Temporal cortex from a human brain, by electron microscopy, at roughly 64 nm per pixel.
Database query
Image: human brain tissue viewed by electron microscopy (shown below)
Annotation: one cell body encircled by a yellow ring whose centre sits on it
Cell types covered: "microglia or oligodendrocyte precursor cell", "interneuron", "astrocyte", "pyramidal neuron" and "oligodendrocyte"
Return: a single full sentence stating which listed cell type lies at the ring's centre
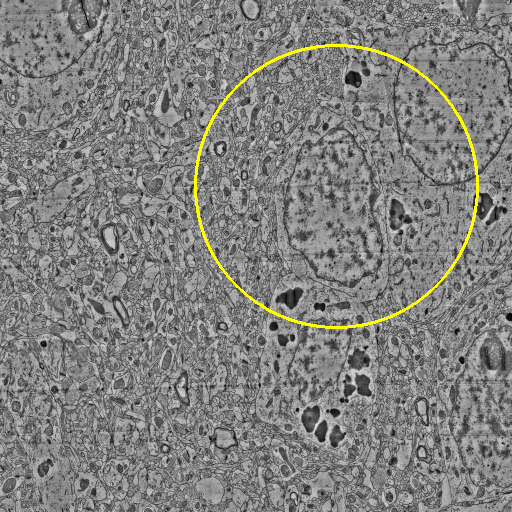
In the image, the cell lying at the ring's centre is an interneuron.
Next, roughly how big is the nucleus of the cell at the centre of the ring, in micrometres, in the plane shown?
Roughly 9 micrometres by 6 micrometres, in this plane.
